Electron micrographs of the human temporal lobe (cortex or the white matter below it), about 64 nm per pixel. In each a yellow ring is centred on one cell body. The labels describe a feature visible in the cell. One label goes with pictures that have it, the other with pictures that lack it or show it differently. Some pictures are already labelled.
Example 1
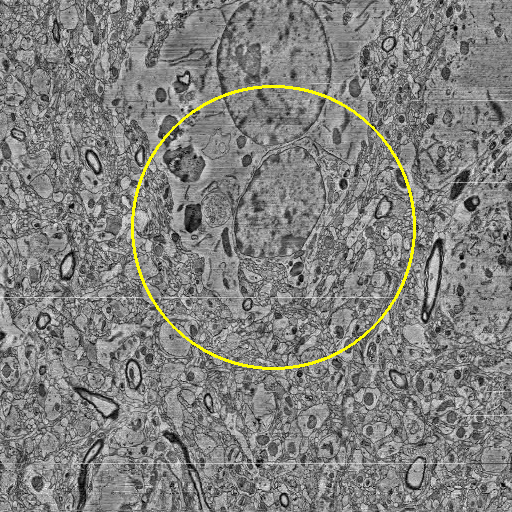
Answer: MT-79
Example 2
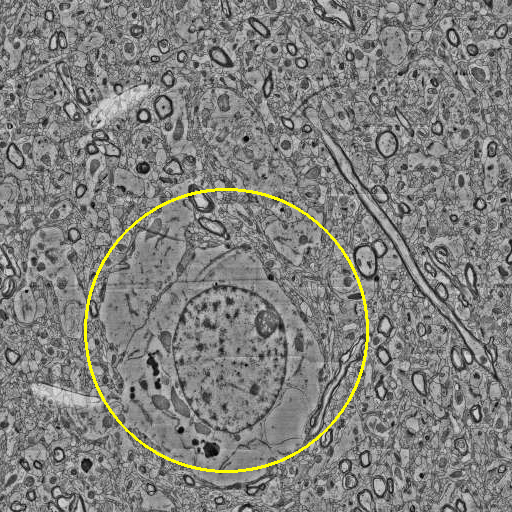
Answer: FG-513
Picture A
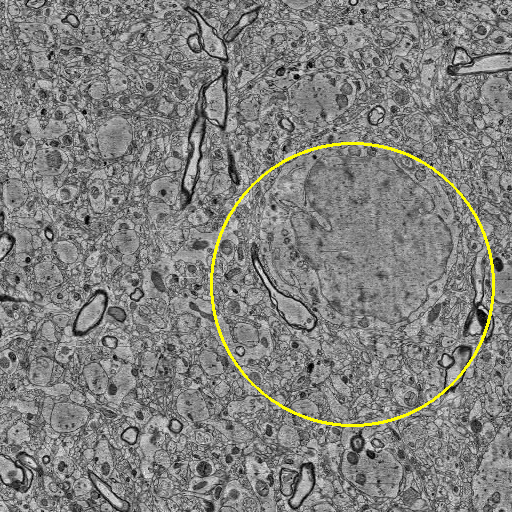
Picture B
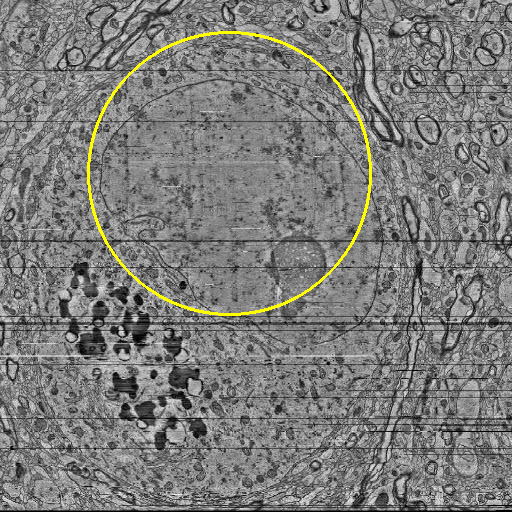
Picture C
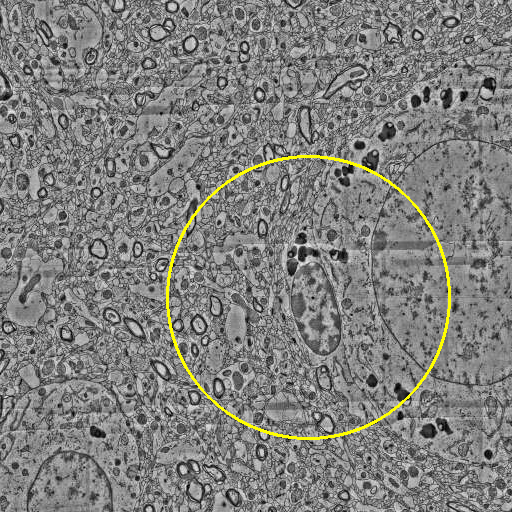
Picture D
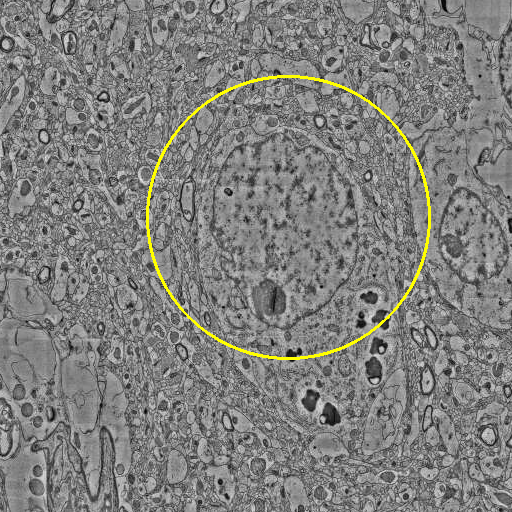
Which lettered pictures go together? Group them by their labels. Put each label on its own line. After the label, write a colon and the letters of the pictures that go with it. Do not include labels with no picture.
MT-79: A, C
FG-513: B, D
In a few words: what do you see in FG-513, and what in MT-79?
FG-513: nucleolus seen; MT-79: no nucleolus seen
